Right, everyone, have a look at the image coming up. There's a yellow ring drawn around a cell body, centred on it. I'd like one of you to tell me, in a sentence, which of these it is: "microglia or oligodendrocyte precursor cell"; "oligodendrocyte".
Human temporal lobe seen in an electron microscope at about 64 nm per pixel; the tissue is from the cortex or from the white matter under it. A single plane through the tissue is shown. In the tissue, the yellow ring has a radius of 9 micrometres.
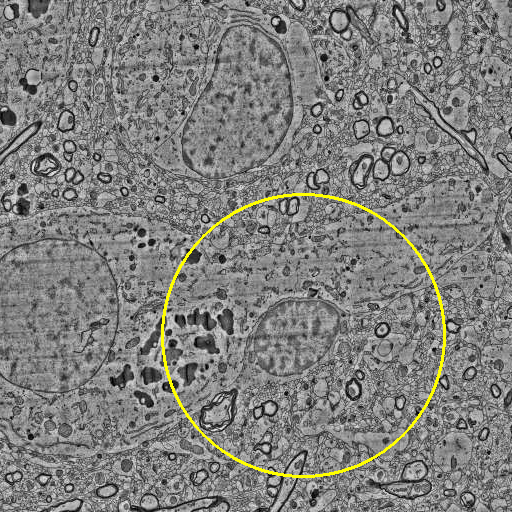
The yellow ring sits on an oligodendrocyte.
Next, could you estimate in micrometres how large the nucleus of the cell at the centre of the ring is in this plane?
In this plane, about 6 micrometres in length and 5 in width.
